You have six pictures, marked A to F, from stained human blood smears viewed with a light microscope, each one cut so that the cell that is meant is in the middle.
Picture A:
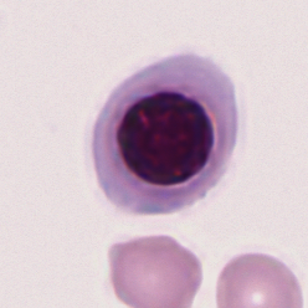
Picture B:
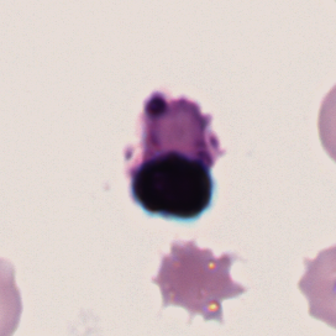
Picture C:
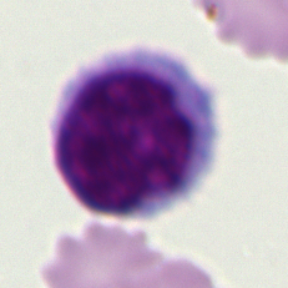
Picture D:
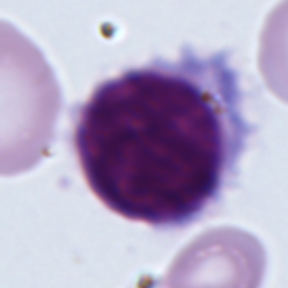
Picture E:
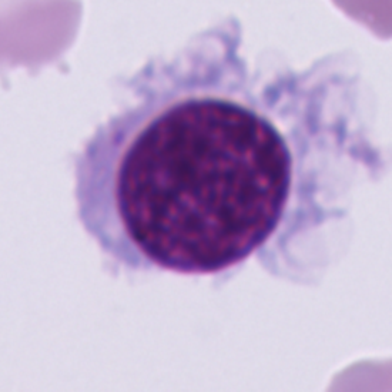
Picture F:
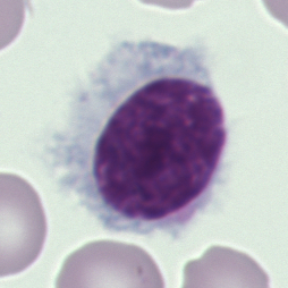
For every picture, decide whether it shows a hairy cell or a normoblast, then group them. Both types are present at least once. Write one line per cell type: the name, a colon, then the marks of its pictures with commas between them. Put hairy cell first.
hairy cell: C, D, E, F
normoblast: A, B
